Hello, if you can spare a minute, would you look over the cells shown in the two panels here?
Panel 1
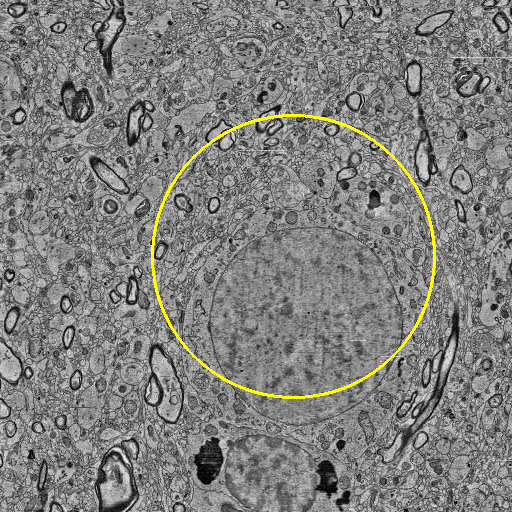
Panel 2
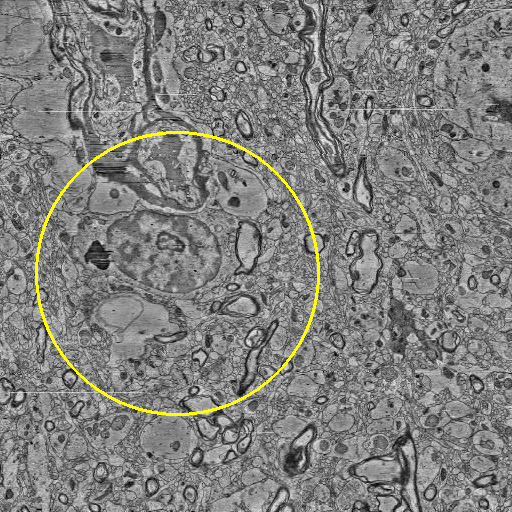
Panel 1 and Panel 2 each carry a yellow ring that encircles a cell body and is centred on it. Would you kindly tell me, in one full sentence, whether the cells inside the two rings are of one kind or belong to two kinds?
The cells at the centres of the rings in Panel 1 and Panel 2 belong to two kinds.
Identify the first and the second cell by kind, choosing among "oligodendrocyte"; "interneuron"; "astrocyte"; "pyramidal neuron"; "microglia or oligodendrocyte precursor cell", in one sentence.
The one in the first picture is an interneuron, while the one in the second is an oligodendrocyte.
